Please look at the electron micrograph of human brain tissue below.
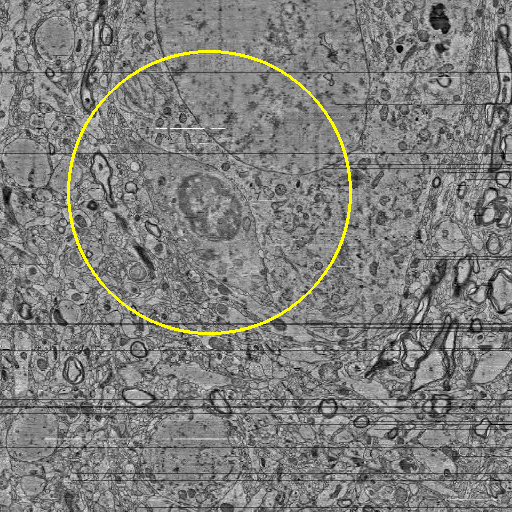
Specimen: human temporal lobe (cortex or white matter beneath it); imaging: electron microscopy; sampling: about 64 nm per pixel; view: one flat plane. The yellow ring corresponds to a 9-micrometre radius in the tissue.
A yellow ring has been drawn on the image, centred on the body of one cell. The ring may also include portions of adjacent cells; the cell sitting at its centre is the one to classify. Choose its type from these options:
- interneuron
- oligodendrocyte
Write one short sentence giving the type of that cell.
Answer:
The cell in the middle of the ring is an oligodendrocyte.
